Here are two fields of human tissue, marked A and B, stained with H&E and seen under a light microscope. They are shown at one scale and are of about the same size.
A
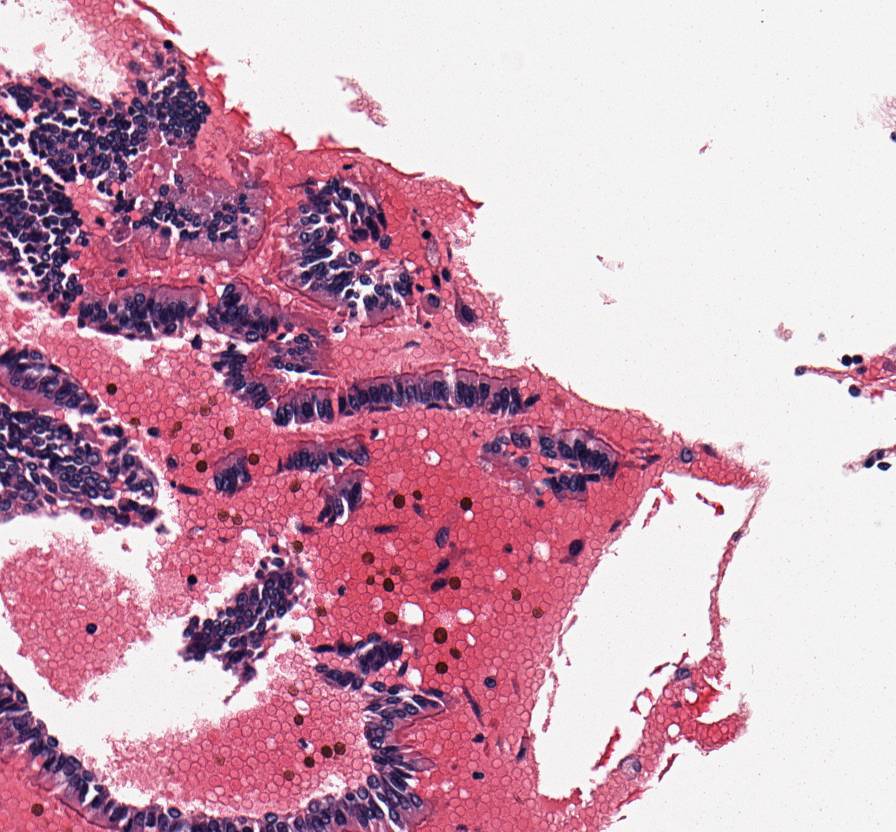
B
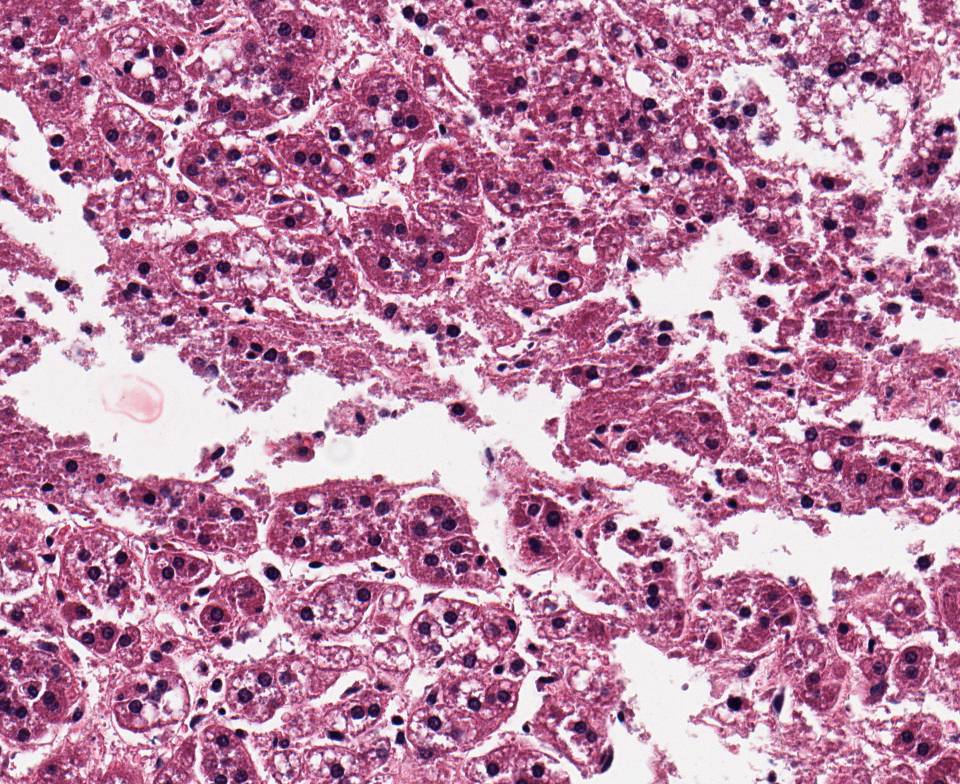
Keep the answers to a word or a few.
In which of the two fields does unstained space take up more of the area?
A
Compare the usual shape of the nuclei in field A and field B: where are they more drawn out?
A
